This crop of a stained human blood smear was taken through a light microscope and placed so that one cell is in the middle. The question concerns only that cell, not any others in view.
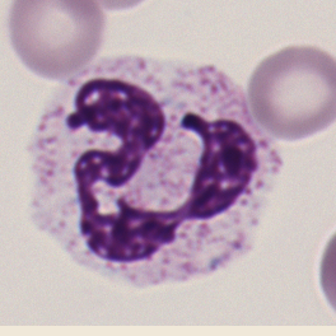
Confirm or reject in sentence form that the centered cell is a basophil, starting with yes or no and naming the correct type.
No, the central cell should be identified as a segmented neutrophil, not as a basophil.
